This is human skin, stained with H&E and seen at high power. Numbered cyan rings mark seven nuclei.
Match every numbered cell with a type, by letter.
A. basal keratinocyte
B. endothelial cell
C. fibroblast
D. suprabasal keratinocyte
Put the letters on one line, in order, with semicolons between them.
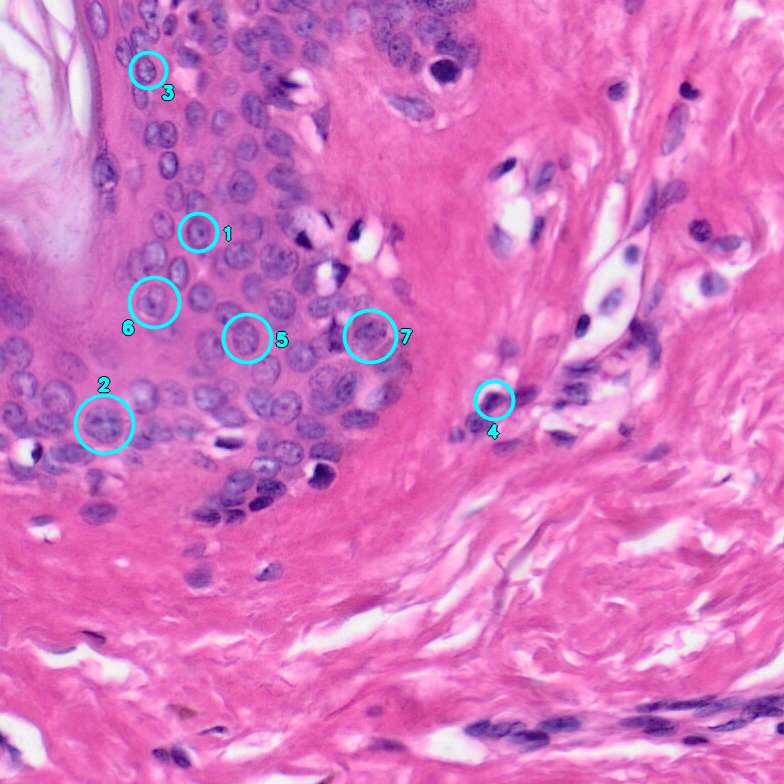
D; A; D; B; D; D; A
